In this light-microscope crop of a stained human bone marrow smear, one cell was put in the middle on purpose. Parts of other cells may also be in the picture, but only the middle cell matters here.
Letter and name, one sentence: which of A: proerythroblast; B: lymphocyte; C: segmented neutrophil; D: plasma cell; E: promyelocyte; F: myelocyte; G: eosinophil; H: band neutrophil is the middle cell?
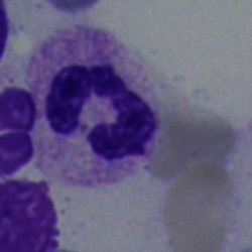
The middle of the crop holds a segmented neutrophil, which points to option C.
